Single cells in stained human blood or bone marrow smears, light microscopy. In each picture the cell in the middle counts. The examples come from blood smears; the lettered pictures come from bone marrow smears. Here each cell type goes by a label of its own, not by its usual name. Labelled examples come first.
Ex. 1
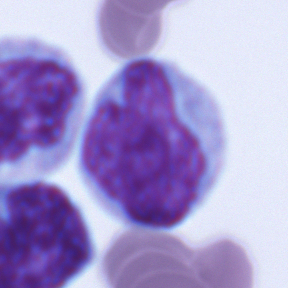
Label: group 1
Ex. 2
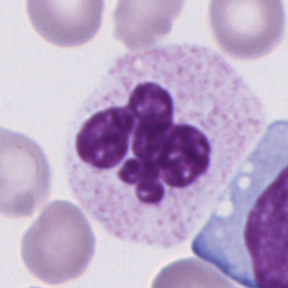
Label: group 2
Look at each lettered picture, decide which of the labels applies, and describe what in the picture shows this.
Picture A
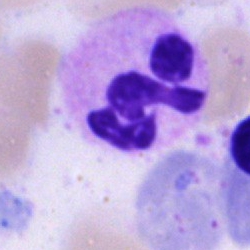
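group 2: The cytoplasm is abundant and pale pinkish-lilac.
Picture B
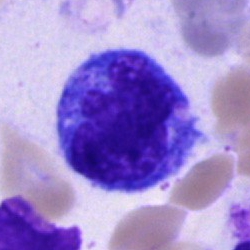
group 1: The nucleus fills most of the cell.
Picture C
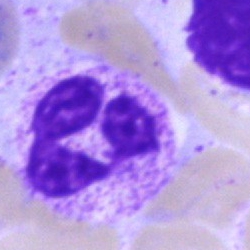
group 2: The cytoplasm holds many fine pinkish-violet granules spread throughout.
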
